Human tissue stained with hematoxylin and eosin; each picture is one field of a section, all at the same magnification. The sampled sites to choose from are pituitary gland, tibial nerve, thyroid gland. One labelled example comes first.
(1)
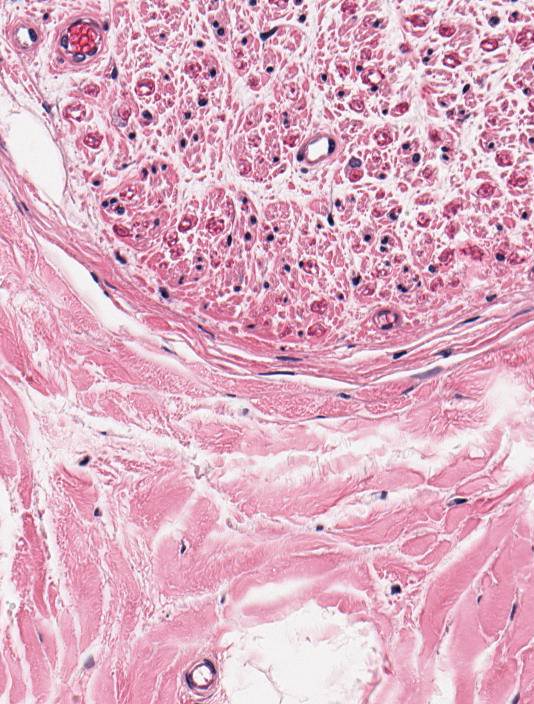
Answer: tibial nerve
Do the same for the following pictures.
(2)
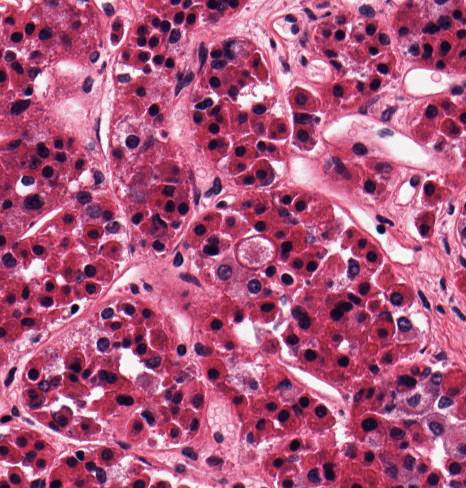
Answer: pituitary gland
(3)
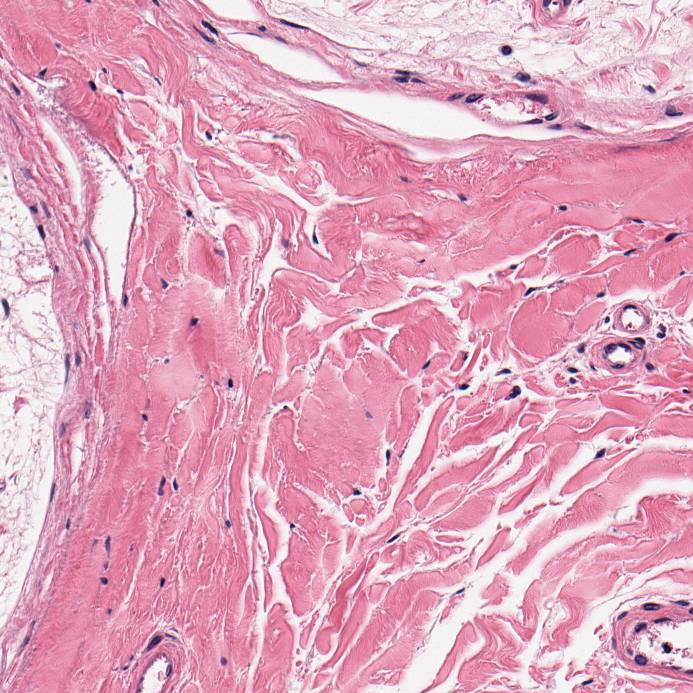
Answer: tibial nerve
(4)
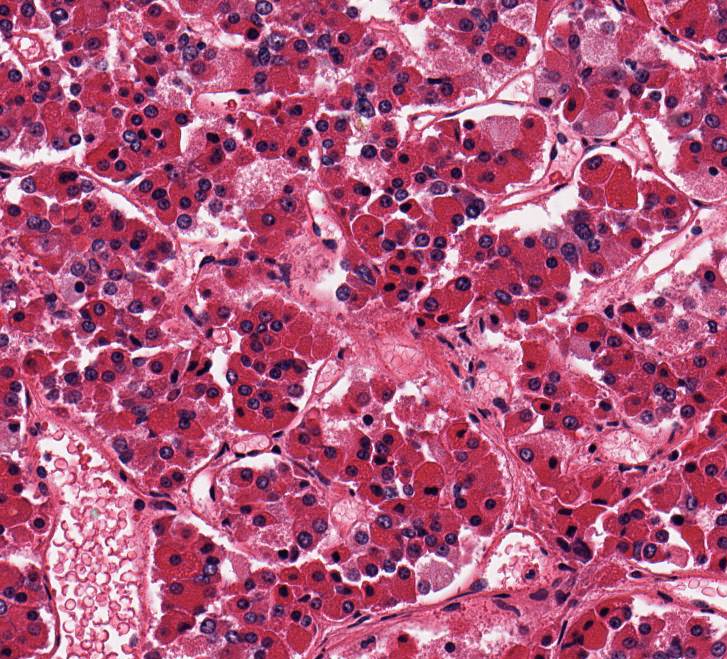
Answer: pituitary gland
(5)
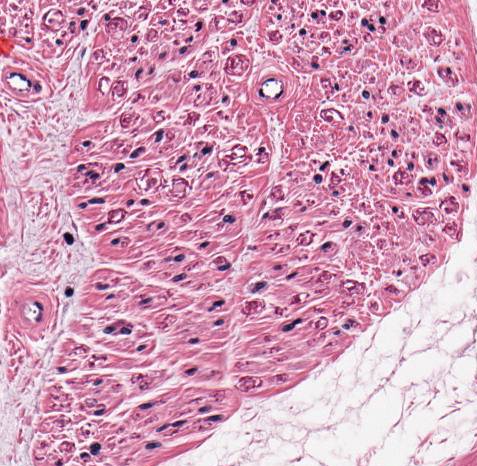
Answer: tibial nerve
